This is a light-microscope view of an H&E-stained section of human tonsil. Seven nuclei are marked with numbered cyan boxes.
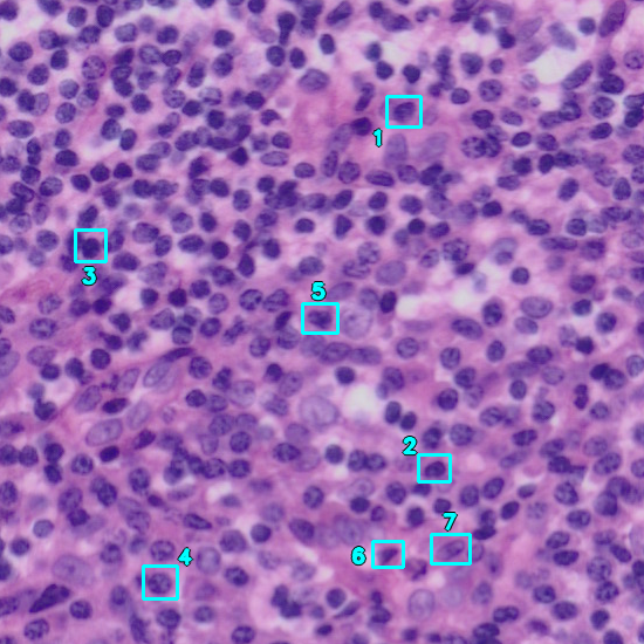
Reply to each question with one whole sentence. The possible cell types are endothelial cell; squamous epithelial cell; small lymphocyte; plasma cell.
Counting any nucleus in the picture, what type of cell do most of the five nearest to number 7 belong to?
Endothelial cells make up most of the five nuclei closest to number 7.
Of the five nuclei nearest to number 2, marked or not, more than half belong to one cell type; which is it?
Plasma cells account for more than half of the five nuclei nearest to number 2.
